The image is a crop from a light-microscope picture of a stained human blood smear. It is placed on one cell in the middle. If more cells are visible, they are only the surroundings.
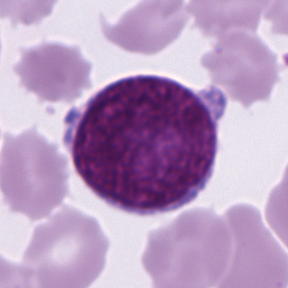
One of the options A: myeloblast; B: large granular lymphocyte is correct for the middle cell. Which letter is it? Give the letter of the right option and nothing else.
A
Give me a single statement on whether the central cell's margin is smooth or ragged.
The cell outline lacks smoothness, being ragged or extended into projections.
